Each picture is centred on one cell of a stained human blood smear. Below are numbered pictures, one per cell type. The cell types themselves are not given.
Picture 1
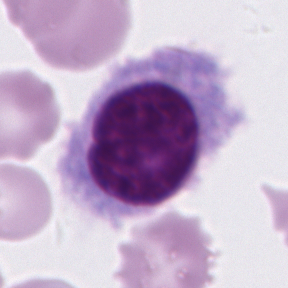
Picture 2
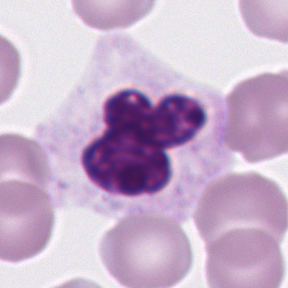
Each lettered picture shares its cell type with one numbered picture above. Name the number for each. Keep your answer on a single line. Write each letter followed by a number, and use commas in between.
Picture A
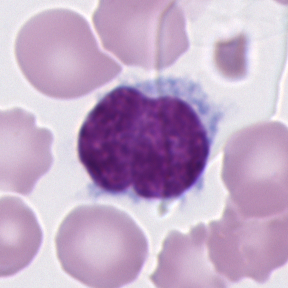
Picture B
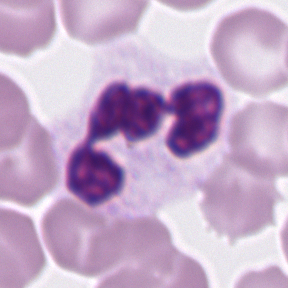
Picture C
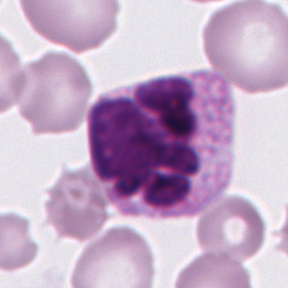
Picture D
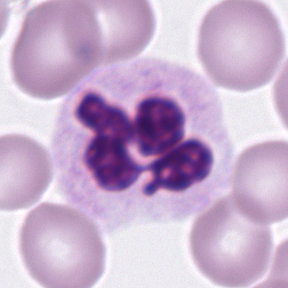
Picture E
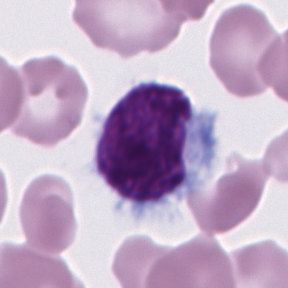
A 1, B 2, C 2, D 2, E 1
